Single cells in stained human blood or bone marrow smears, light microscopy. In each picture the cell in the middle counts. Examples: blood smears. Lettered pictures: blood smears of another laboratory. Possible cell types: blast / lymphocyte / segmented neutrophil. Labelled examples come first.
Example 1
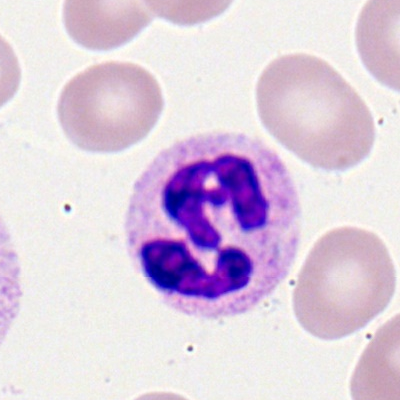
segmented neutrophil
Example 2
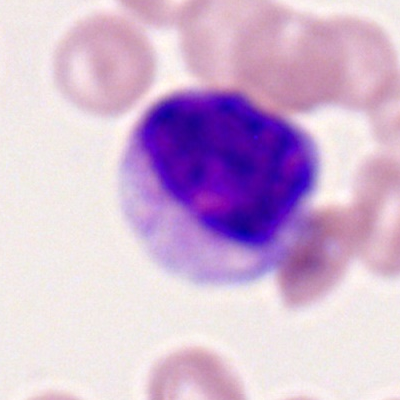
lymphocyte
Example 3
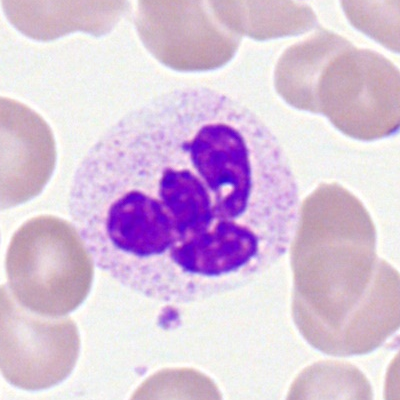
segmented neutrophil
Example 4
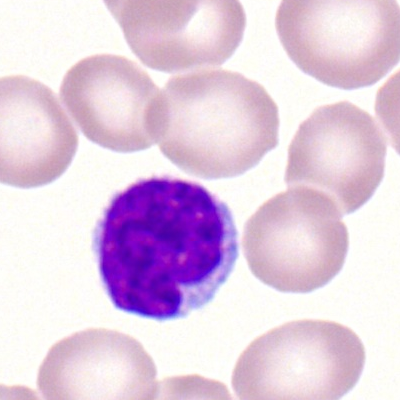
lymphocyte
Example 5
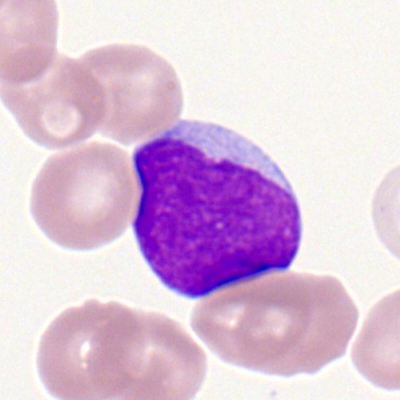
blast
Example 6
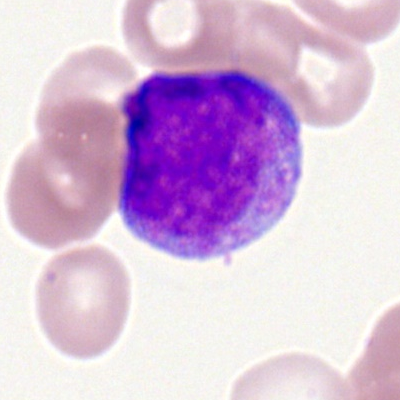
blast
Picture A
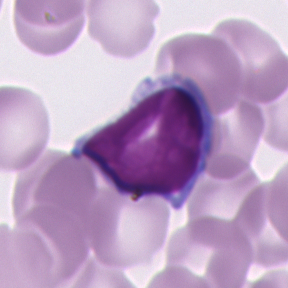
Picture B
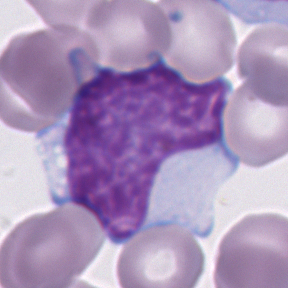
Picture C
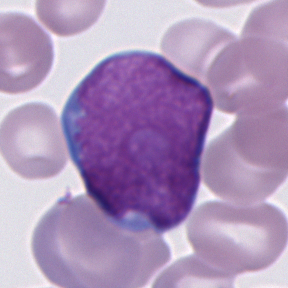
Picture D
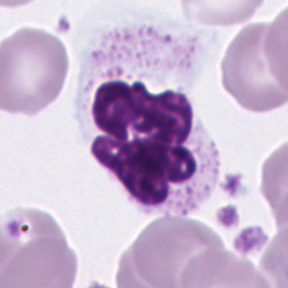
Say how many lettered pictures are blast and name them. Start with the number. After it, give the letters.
2, namely B, C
